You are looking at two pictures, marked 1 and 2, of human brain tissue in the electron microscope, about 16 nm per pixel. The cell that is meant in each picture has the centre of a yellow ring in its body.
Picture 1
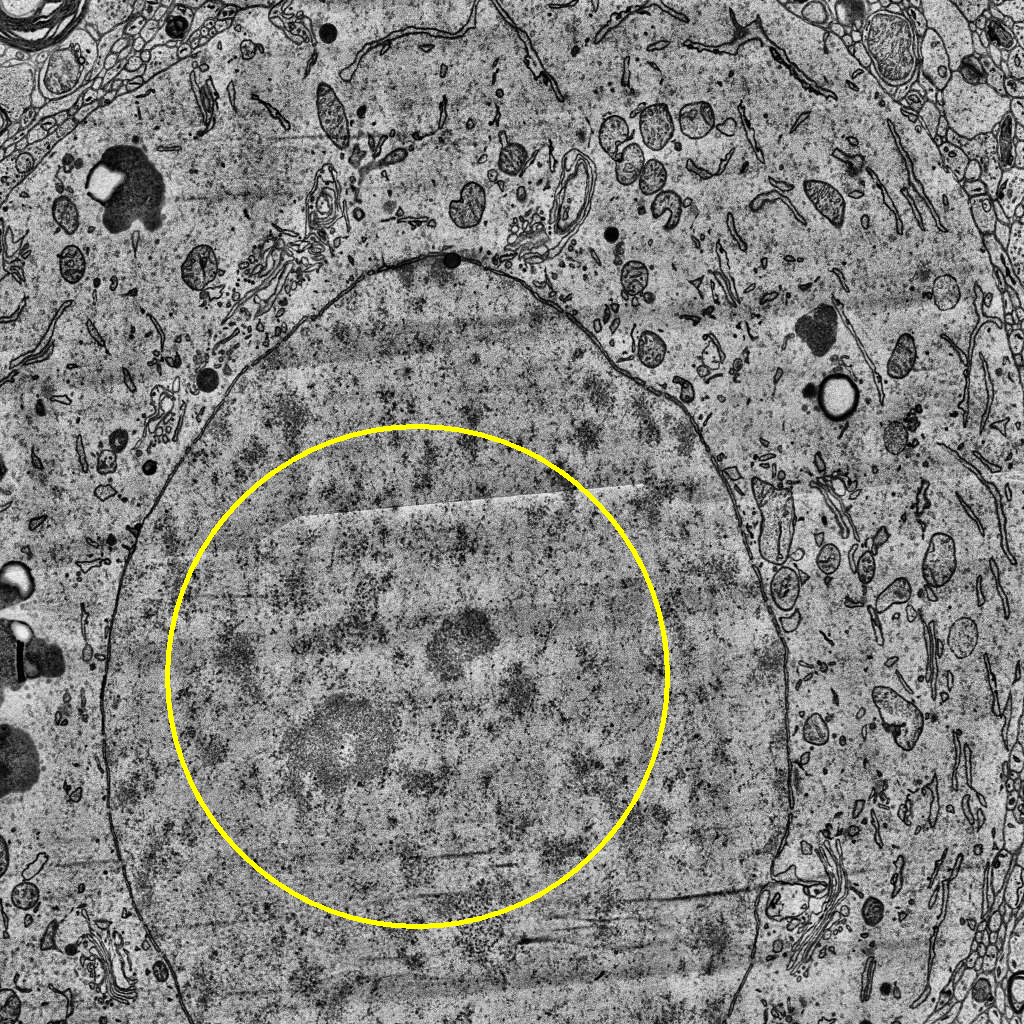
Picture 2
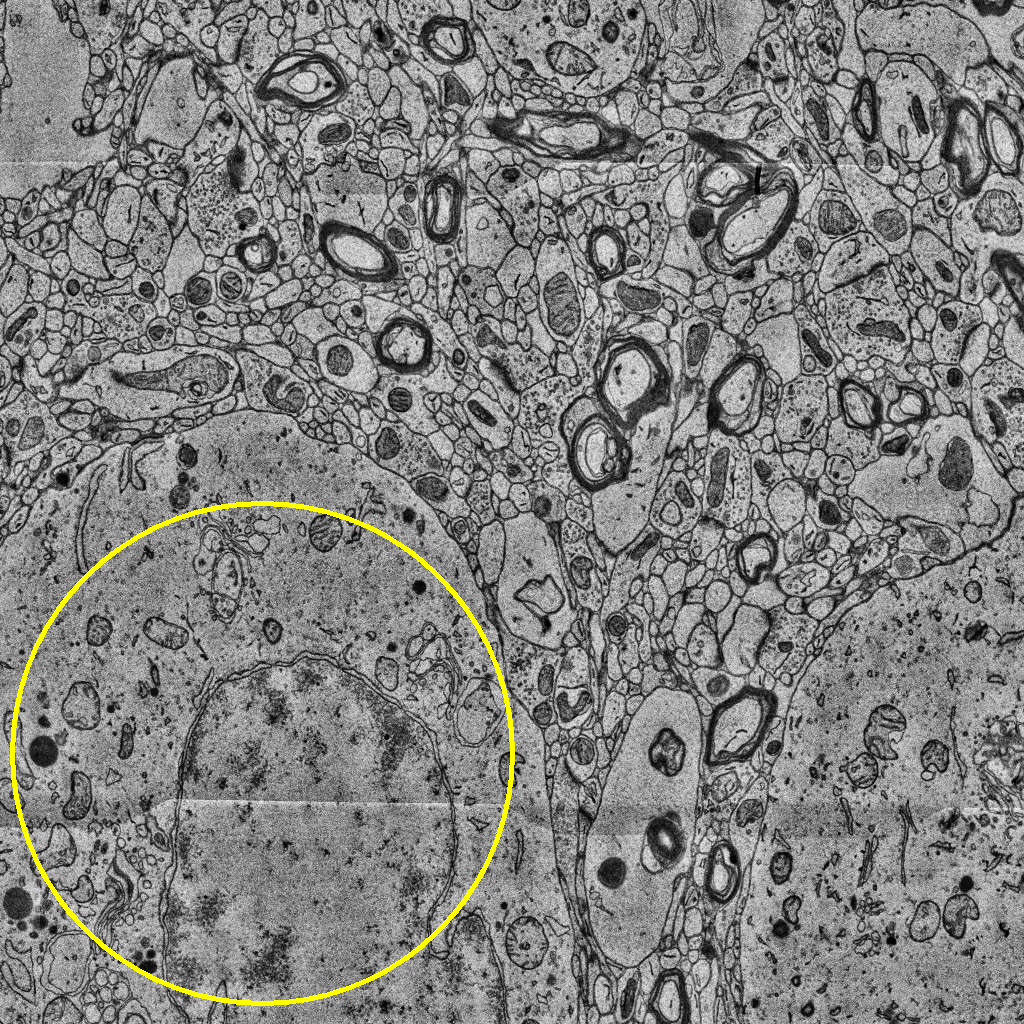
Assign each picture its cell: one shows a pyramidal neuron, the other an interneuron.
Picture 1 shows a pyramidal neuron and picture 2 shows an interneuron.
